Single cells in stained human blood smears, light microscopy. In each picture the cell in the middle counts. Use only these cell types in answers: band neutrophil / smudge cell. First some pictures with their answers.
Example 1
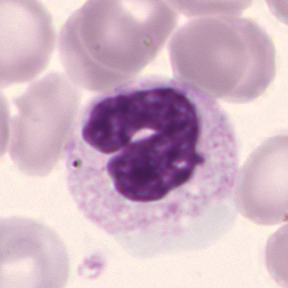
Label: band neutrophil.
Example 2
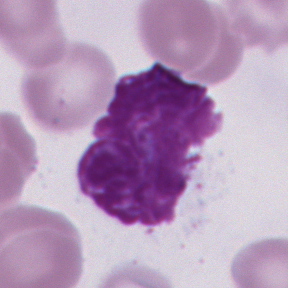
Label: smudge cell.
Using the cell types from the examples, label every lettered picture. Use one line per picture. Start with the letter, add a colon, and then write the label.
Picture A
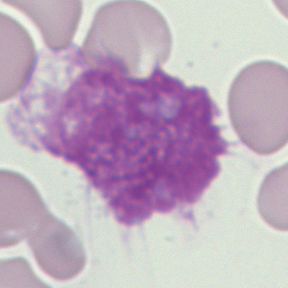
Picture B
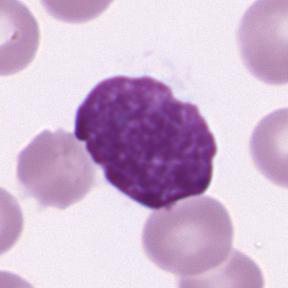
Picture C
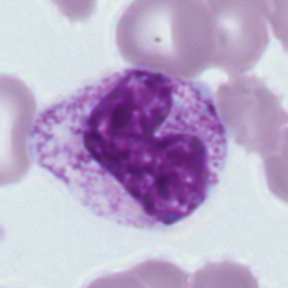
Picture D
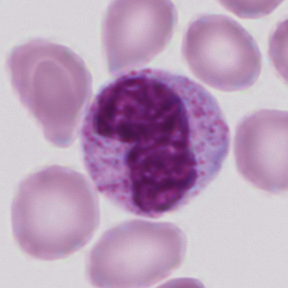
A: smudge cell.
B: smudge cell.
C: band neutrophil.
D: band neutrophil.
